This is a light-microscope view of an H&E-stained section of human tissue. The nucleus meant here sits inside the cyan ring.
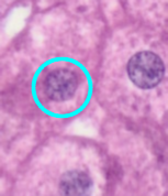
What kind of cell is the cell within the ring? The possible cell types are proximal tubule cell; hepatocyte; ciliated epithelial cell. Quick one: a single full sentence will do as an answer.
In the tissue at hand, the cell within the ring is a hepatocyte.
